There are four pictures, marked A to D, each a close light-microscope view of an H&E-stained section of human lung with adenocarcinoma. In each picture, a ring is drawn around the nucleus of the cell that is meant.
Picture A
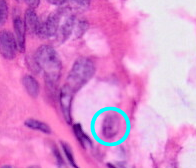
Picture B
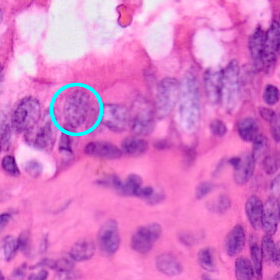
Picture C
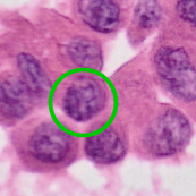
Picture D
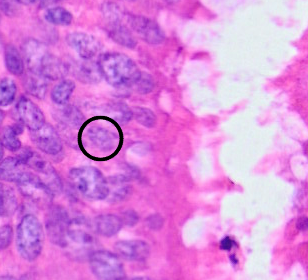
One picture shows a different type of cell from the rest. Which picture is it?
C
